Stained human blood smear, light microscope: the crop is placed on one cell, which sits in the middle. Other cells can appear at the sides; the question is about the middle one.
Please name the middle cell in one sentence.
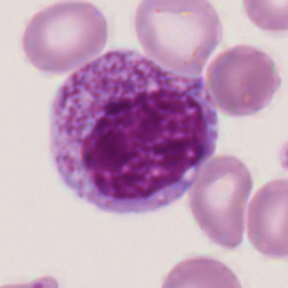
The central cell shown in this smear crop is a myelocyte.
